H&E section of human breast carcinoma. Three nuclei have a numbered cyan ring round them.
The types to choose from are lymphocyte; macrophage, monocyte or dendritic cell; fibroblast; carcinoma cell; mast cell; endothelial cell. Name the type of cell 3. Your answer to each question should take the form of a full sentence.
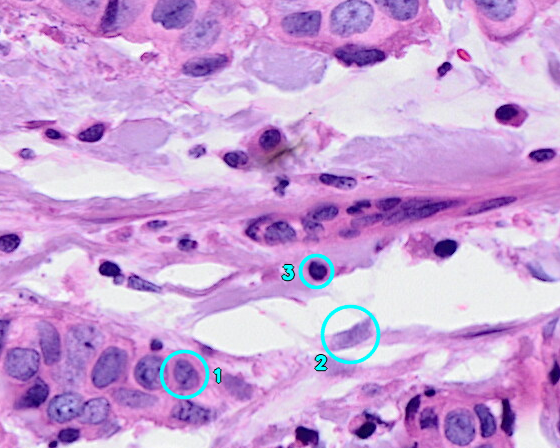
The cell given label 3 is a mast cell.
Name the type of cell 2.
The expected answer is that cell 2 is a fibroblast.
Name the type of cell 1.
The expected answer is that cell 1 is a carcinoma cell.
